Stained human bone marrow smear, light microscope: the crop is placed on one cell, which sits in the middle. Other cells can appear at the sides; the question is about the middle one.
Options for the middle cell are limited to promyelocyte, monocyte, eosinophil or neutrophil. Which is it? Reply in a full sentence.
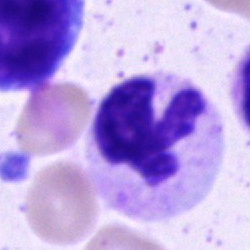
The cell the crop is centered on is a neutrophil.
